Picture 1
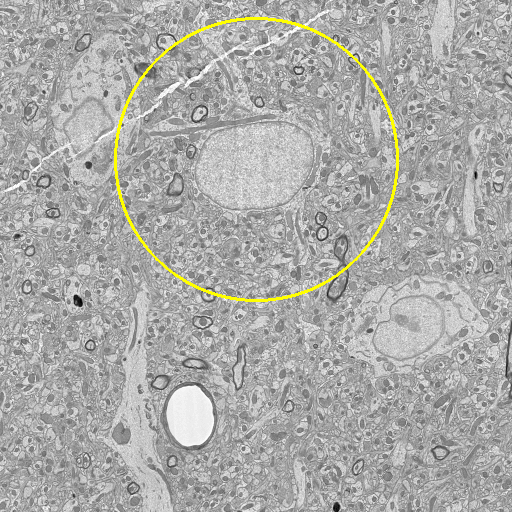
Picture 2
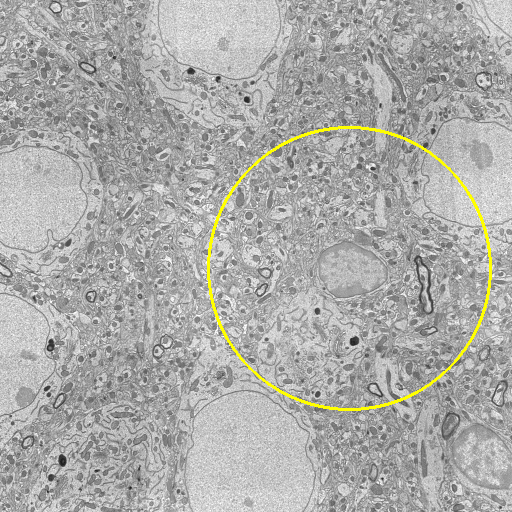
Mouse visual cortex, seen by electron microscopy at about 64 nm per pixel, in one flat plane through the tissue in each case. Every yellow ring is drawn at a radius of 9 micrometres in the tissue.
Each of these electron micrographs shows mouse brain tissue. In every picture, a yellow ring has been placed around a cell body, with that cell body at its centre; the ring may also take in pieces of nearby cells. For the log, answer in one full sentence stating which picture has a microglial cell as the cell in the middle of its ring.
In picture 2, the cell at the centre of the yellow ring is the requested one.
